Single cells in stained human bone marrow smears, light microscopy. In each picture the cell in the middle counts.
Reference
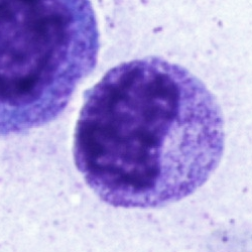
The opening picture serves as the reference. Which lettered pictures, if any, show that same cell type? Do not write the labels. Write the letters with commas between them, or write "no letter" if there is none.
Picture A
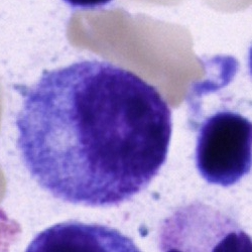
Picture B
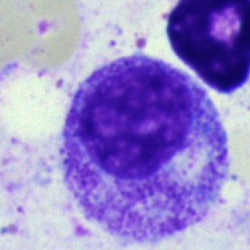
A, B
